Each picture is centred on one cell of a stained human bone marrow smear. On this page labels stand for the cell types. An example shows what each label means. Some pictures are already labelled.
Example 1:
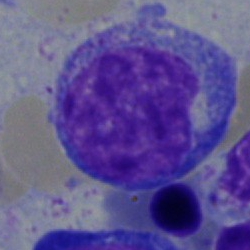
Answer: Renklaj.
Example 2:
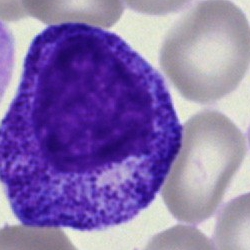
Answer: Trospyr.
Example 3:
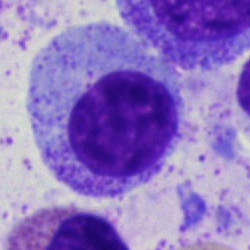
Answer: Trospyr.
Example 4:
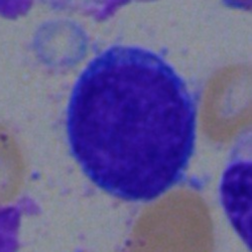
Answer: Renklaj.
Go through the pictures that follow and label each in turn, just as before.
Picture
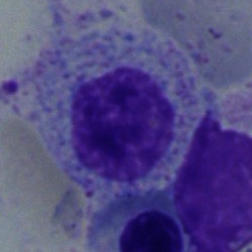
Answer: Trospyr.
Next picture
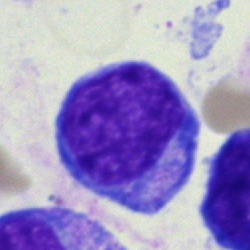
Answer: Renklaj.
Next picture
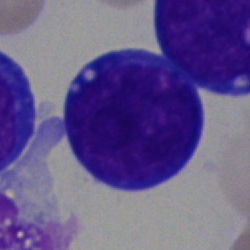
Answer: Renklaj.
